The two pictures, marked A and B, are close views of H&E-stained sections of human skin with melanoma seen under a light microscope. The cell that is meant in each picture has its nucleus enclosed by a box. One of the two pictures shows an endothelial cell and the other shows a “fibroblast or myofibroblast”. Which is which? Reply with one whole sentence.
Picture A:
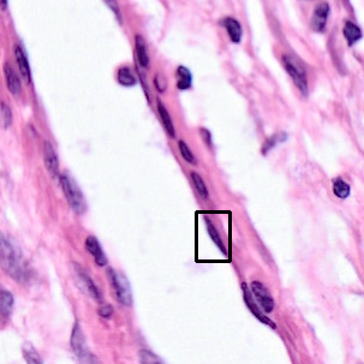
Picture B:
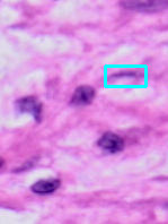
Picture B shows a “fibroblast or myofibroblast”, while picture A shows an endothelial cell.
